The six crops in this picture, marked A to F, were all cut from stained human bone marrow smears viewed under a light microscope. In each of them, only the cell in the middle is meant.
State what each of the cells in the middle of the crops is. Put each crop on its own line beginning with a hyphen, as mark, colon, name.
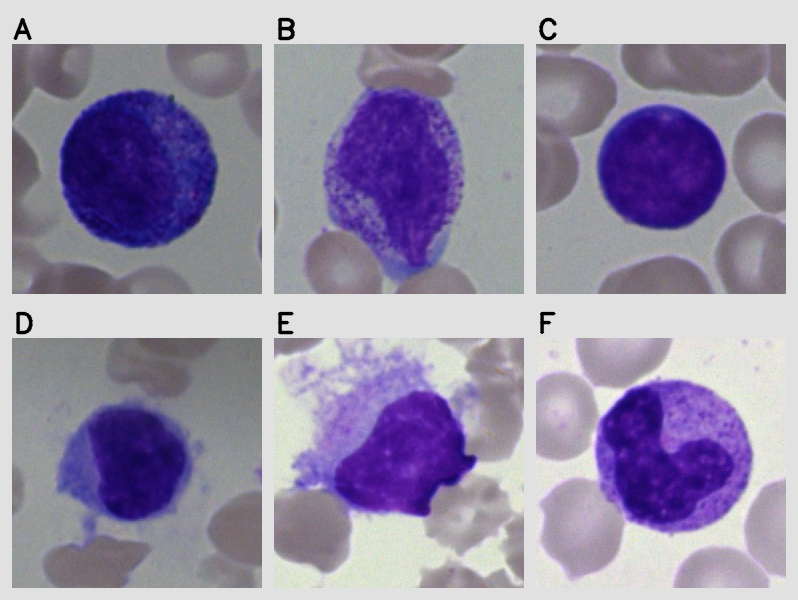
- A: promyelocyte
- B: myelocyte
- C: blast
- D: hairy cell
- E: hairy cell
- F: band neutrophil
